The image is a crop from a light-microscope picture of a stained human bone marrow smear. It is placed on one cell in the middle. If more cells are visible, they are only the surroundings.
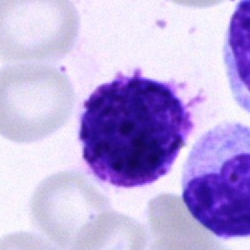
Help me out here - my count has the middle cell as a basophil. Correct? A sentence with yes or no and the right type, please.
Yes, the centrally placed cell is a basophil.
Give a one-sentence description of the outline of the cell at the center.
The contour of the cell is interrupted by ragged areas or by projections.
